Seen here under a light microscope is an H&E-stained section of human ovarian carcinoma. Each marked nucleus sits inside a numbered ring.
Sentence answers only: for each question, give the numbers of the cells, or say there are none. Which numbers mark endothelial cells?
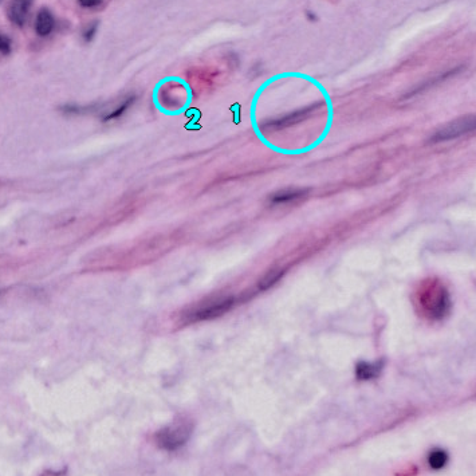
The nucleus numbered 2 is the only one that belongs to an endothelial cell.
